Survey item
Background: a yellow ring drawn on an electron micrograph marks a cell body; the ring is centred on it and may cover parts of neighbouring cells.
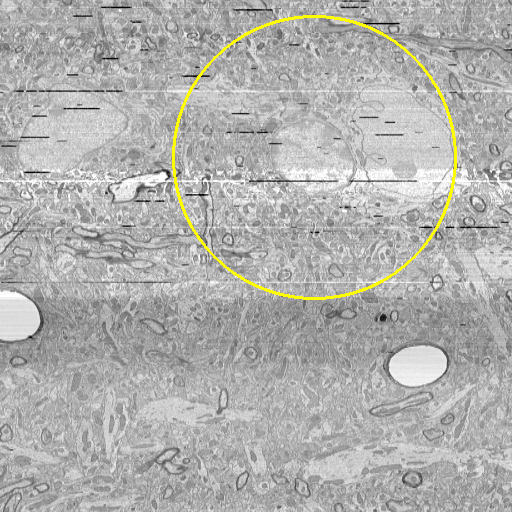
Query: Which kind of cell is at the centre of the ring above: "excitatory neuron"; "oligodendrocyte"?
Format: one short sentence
The cell in the middle of the ring is an oligodendrocyte.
